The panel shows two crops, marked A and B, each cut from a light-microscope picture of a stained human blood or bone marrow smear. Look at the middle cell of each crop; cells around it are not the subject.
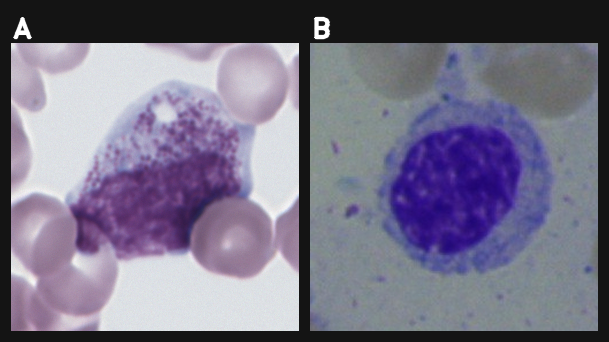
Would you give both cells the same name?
yes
